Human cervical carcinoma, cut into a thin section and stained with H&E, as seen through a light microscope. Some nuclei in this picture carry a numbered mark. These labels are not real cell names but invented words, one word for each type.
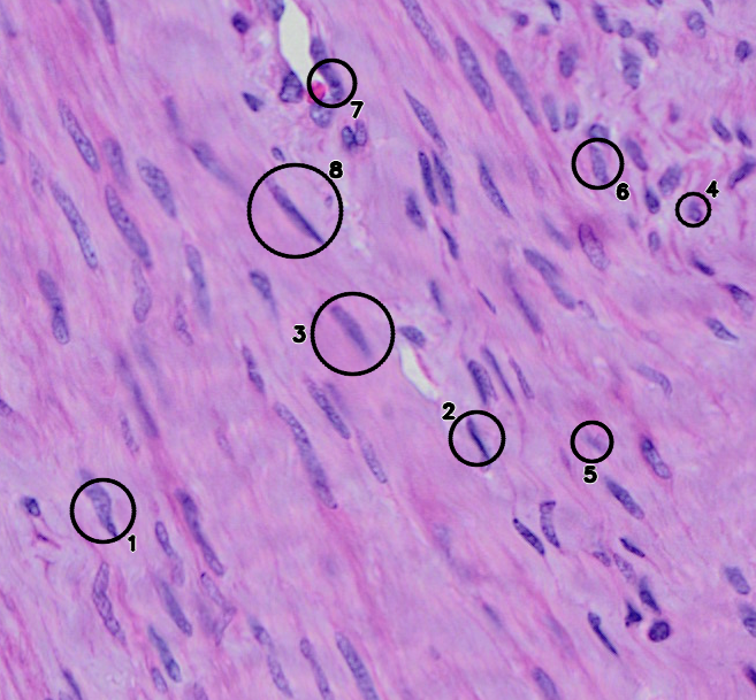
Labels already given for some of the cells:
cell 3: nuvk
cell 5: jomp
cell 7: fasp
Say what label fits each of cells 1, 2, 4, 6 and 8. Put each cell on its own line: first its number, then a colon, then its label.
1: nuvk
2: nuvk
4: jomp
6: jomp
8: nuvk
